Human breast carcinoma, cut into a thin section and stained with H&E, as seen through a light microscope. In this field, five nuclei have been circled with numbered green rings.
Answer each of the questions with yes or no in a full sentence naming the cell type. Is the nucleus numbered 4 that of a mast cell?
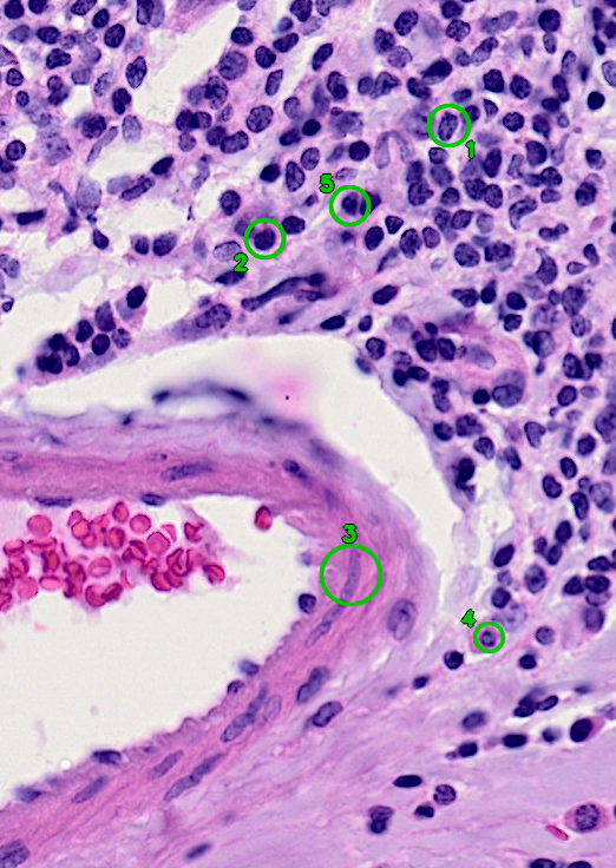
Yes, number 4 marks a cell that is a mast cell.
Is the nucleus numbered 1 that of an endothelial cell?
No, cell 1 is not an endothelial cell at all but a lymphocyte.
